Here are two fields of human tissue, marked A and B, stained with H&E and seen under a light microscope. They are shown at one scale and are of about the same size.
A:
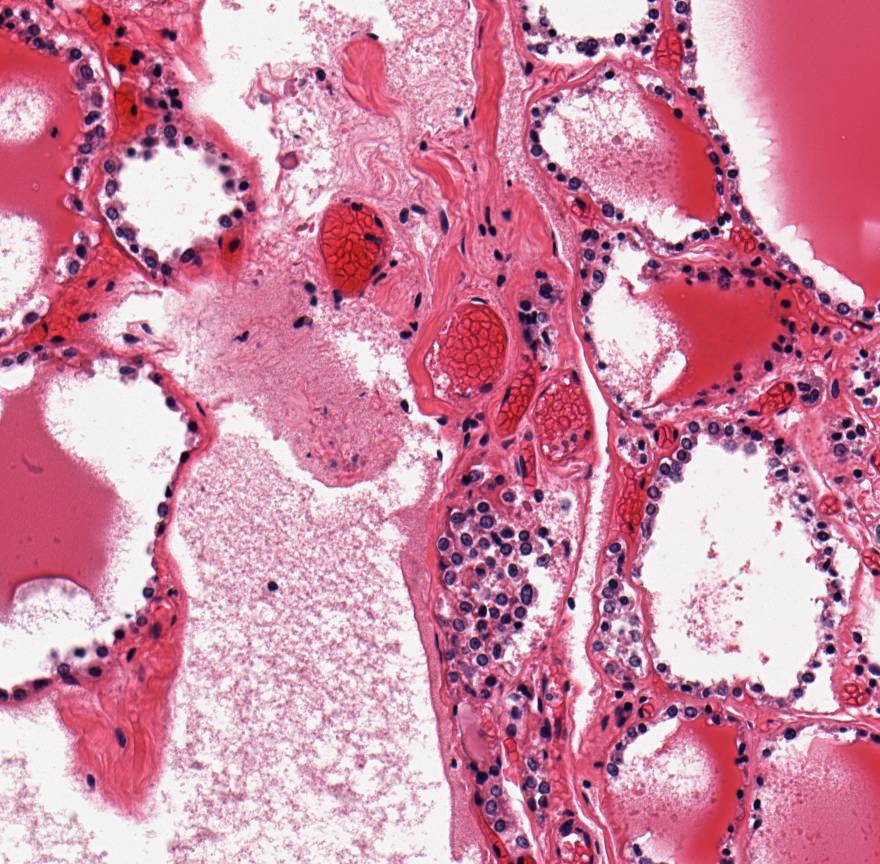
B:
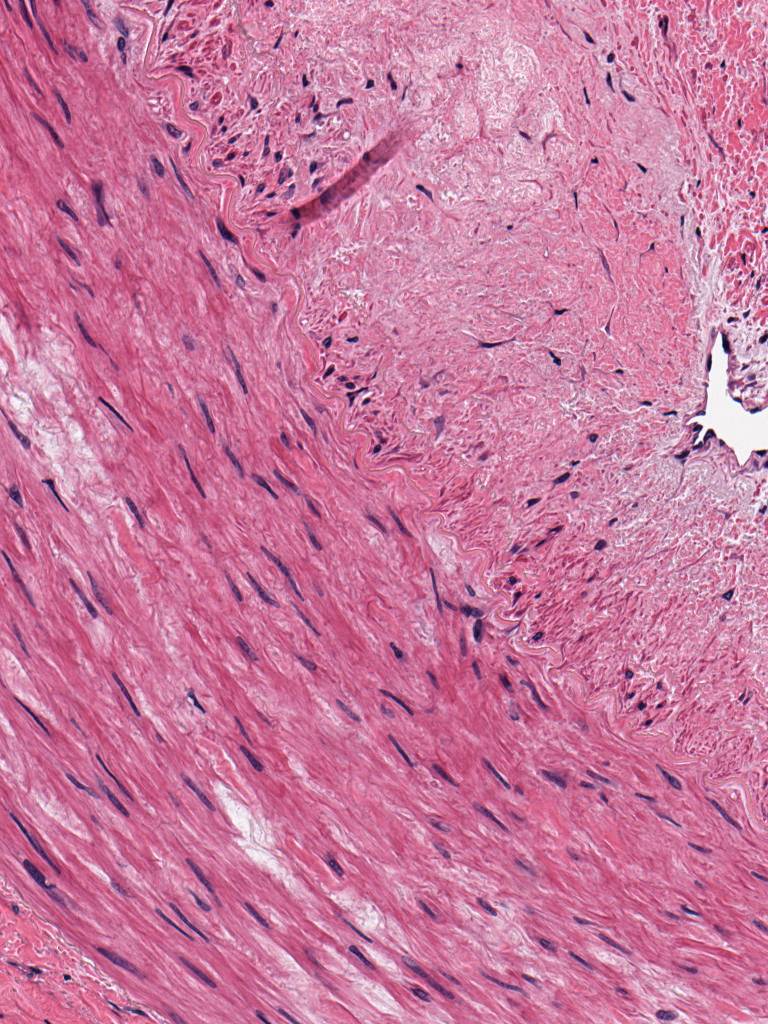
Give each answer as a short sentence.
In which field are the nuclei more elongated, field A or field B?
On the whole the nuclei of field B are more drawn out than those of field A.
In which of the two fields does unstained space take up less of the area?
Less of field B is empty and white.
